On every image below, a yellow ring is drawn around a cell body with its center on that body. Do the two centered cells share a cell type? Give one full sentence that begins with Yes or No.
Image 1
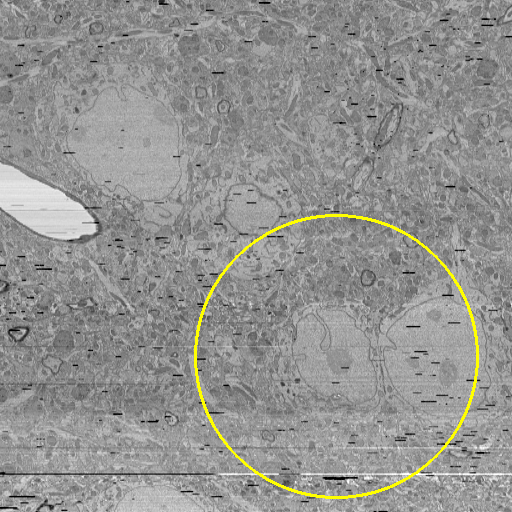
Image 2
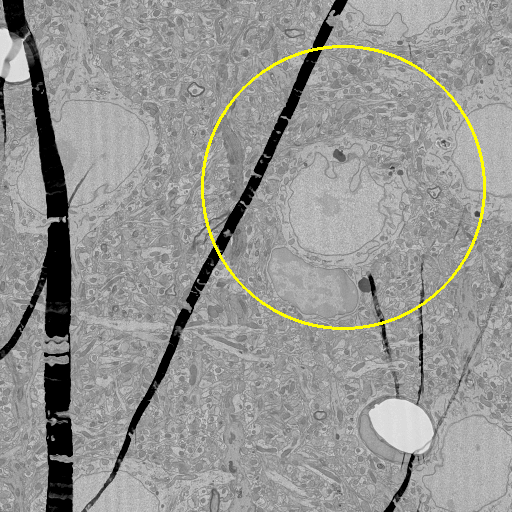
Yes, the centered cells in the two images are of a single cell type.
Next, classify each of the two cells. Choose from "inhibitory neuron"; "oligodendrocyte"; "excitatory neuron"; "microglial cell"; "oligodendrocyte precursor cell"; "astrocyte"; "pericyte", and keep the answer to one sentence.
Each one of the two ringed cells is an inhibitory neuron.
